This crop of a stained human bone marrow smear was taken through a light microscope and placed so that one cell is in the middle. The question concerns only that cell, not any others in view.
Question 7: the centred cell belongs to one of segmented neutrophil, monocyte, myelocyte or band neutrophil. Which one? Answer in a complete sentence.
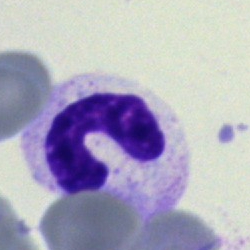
Here the centrally located cell is a band neutrophil.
